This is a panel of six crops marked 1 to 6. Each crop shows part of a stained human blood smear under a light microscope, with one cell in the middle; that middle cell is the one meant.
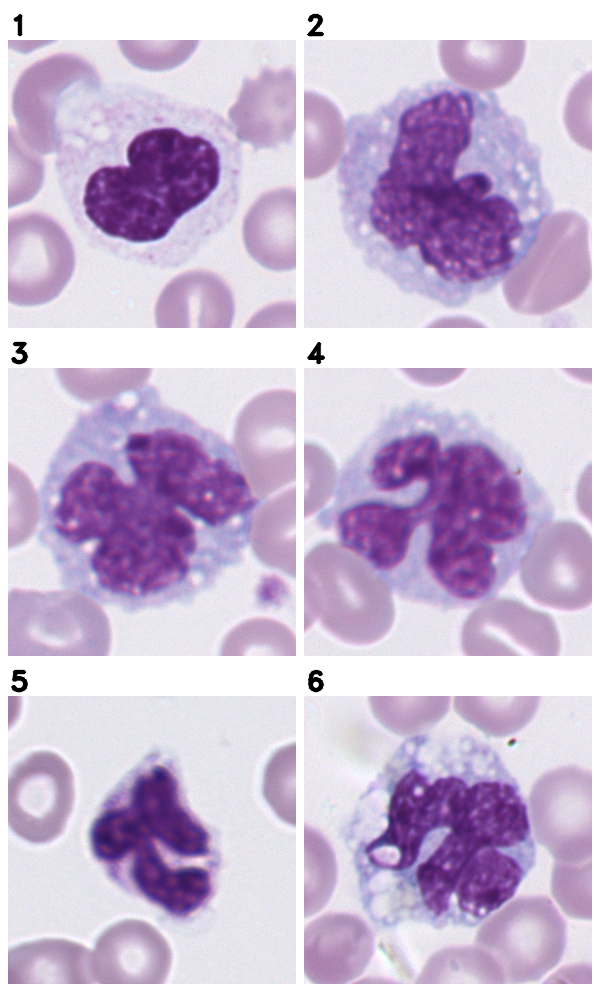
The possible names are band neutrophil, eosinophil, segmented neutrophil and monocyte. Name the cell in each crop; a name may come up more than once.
1: band neutrophil
2: monocyte
3: monocyte
4: monocyte
5: segmented neutrophil
6: monocyte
